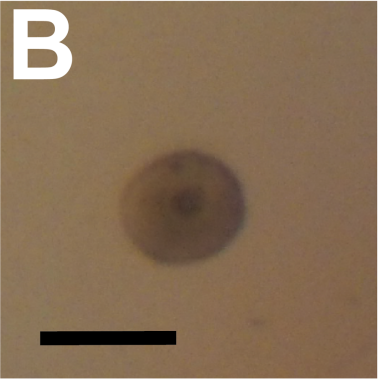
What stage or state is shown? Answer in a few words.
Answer: intact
